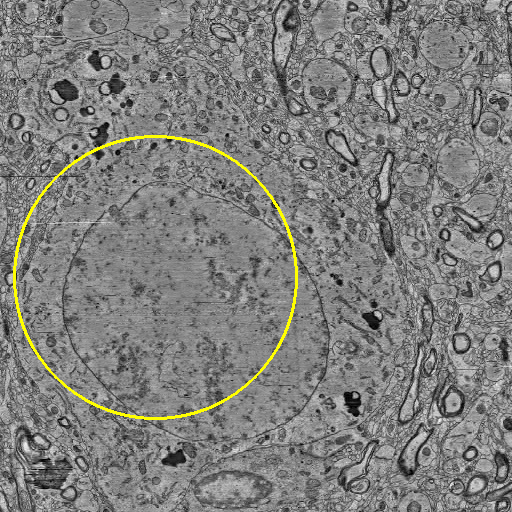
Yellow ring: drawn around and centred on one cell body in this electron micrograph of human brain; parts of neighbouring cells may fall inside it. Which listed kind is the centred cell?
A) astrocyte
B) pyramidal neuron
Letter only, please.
B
